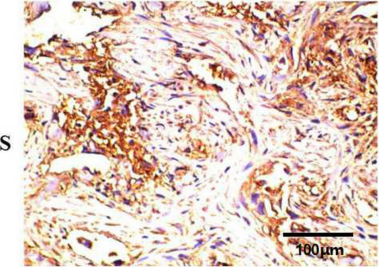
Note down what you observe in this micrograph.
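Many cells are spindle-shaped, with elongated blue-purple nuclei lying along the fibrous strands. Within the brown patches, the stain is coarse and granular and hides much of the cellular detail beneath it. Overall, the tissue is disorganized, with no regular layering.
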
